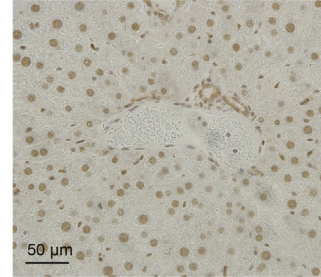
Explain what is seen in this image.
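This is liver tissue composed mainly of hepatocytes arranged in cords around a vessel. The hepatocytes are large polygonal cells with abundant pale cytoplasm and round, centrally placed nuclei, some cells appearing larger or binucleate. Almost every hepatocyte nucleus is stained uniformly brown, and the cytoplasm is largely unstained. An irregular vascular lumen lies in the centre, and the small flattened cells lining it and the small cells of the adjacent portal area also show brown nuclei. Narrow sinusoidal spaces separate the hepatocyte cords.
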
